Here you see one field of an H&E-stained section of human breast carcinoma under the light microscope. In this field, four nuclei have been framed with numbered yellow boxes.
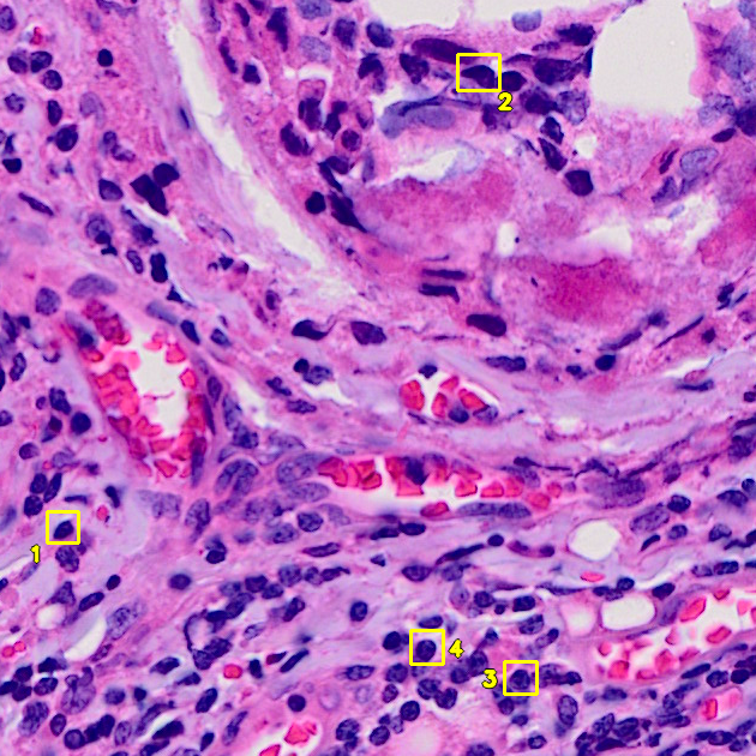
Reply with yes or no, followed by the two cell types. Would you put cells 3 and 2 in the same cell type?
No, classify cell 3 as a lymphocyte and cell 2 as a carcinoma cell.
